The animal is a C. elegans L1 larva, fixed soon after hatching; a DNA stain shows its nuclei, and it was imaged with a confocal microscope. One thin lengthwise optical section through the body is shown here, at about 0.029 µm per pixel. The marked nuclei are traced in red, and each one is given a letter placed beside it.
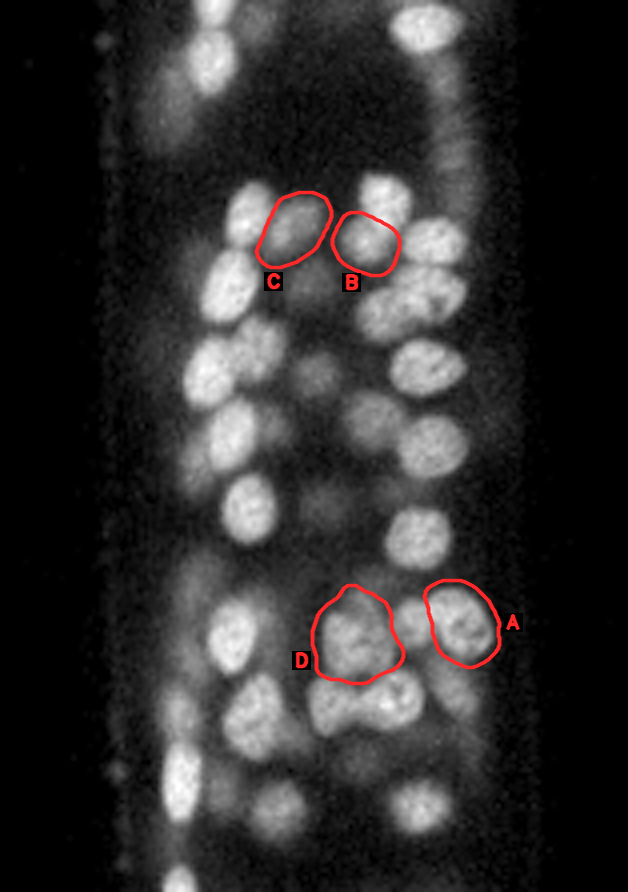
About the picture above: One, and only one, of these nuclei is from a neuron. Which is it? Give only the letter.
B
